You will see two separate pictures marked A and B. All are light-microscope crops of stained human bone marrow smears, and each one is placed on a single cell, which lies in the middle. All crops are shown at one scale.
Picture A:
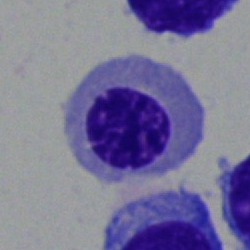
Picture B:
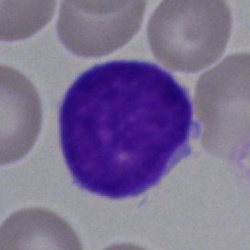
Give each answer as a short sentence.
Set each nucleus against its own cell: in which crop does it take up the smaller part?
It is the cell in picture A that is filled less by its nucleus.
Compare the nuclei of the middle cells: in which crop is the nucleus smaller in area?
It is the nucleus in picture A; the one in picture B has about 2.5 times its area.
